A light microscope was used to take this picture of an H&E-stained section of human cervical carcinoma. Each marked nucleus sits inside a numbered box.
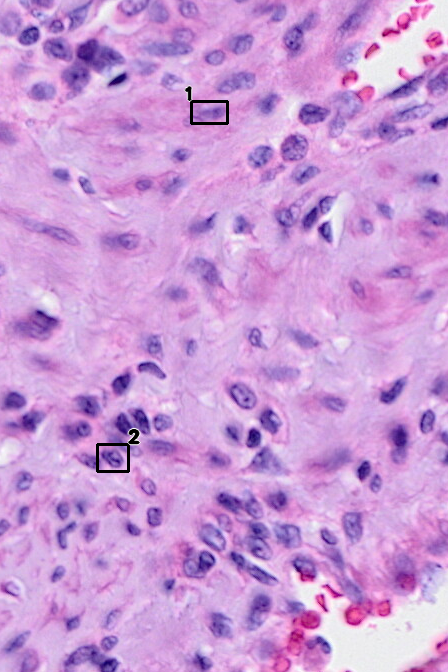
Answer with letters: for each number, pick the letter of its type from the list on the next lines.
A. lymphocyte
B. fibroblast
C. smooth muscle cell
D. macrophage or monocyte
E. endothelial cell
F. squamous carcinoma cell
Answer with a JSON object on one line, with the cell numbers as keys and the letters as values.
{"1": "C", "2": "A"}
